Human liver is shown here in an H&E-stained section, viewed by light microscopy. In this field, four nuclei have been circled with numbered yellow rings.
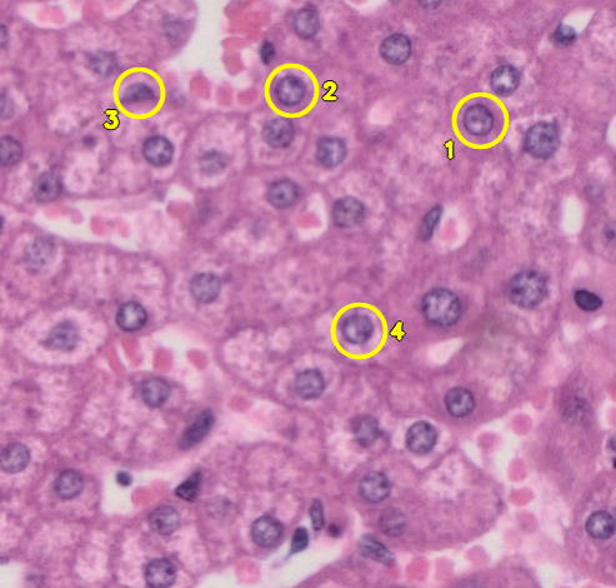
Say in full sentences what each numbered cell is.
Cell 1 is a hepatocyte, cell 2 is a hepatocyte, cell 3 is an endothelial cell and cell 4 is a hepatocyte.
